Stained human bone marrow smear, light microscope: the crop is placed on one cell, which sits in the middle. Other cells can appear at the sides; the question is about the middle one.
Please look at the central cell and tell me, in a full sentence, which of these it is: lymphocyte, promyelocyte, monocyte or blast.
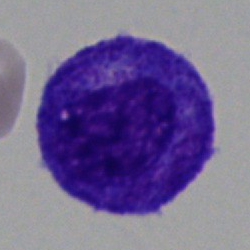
Regarding the central cell, it is a promyelocyte.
